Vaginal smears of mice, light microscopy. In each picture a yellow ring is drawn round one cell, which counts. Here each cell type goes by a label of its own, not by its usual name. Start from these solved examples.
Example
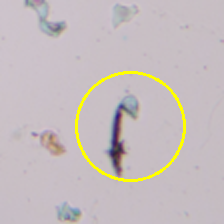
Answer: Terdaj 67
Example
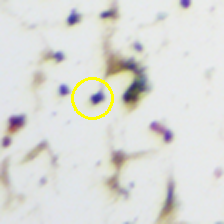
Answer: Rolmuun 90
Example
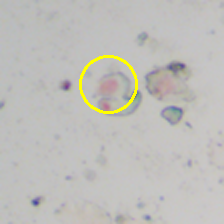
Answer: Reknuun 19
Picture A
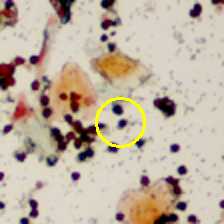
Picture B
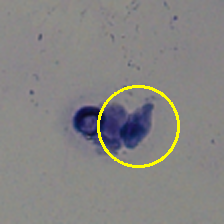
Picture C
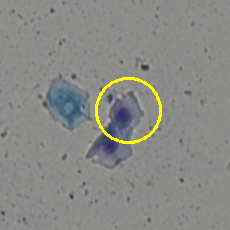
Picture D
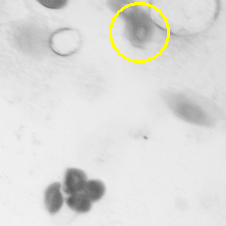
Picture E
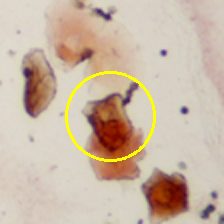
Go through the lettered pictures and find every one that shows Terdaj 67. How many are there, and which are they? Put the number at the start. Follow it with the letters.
1: E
